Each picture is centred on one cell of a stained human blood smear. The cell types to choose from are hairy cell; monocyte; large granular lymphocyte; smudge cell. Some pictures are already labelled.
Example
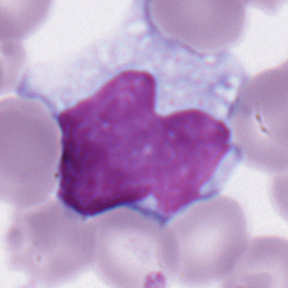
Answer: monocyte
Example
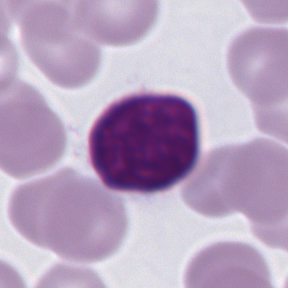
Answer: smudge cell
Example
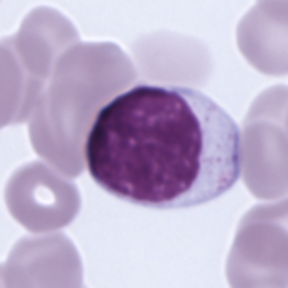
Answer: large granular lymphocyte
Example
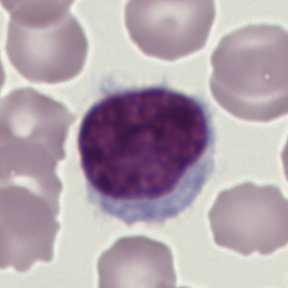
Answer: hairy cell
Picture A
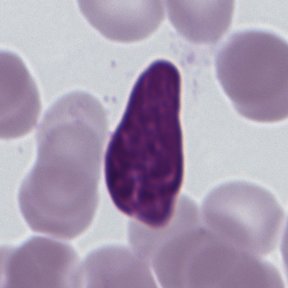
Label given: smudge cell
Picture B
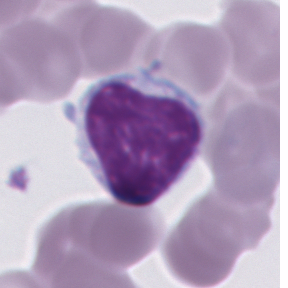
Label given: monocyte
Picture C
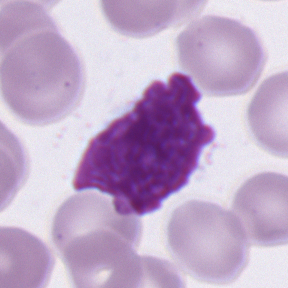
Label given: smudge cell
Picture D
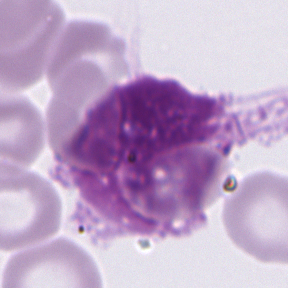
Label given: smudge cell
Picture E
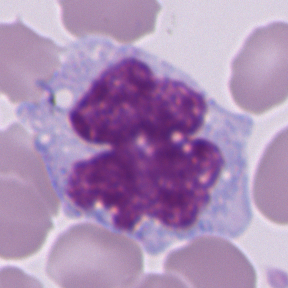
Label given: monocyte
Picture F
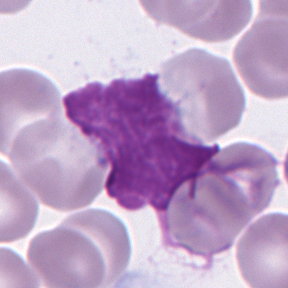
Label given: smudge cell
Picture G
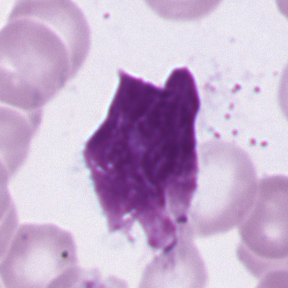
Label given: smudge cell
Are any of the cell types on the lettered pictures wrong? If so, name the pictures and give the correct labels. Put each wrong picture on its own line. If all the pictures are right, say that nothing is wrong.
B: change monocyte to large granular lymphocyte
